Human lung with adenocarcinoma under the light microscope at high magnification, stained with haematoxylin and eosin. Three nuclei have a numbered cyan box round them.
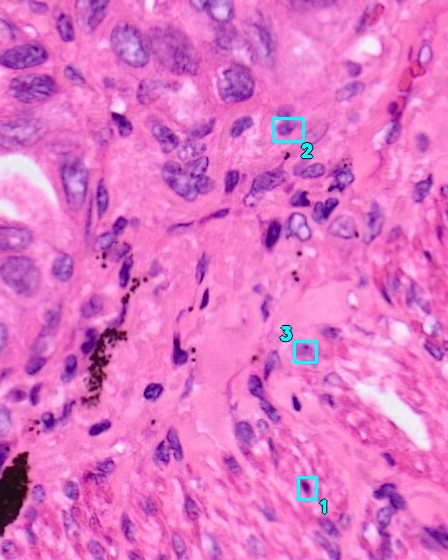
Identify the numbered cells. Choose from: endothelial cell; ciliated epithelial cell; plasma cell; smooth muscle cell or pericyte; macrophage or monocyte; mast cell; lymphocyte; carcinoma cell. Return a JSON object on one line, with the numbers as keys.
{"1": "smooth muscle cell or pericyte", "2": "lymphocyte", "3": "smooth muscle cell or pericyte"}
